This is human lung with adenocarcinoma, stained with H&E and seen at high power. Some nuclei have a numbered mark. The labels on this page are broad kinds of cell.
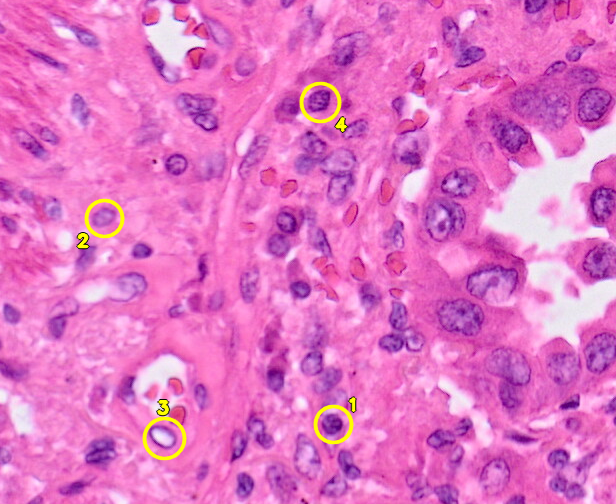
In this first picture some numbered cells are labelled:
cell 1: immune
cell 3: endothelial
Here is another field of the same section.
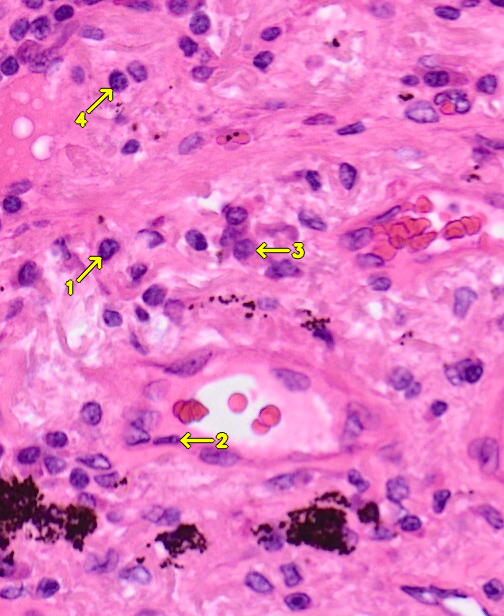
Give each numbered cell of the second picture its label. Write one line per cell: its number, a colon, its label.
1: immune
2: endothelial
3: immune
4: immune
